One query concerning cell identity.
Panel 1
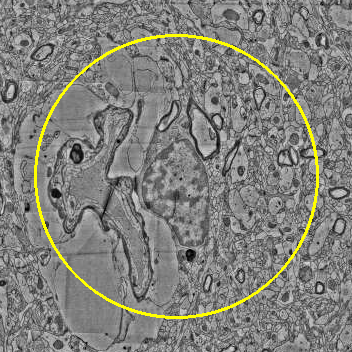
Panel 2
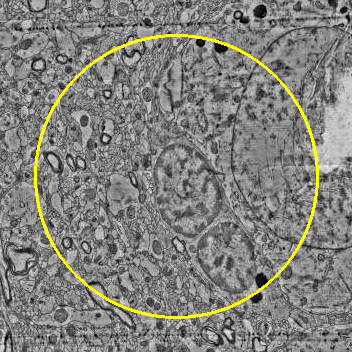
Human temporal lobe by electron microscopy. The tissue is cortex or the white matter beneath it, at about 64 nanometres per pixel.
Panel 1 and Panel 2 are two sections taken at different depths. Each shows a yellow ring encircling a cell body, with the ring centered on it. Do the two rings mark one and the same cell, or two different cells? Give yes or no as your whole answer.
no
